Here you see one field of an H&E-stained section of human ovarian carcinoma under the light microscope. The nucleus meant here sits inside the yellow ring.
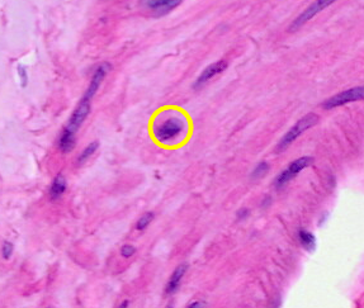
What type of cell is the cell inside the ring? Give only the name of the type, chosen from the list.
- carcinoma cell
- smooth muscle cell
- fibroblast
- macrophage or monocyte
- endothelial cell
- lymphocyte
smooth muscle cell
